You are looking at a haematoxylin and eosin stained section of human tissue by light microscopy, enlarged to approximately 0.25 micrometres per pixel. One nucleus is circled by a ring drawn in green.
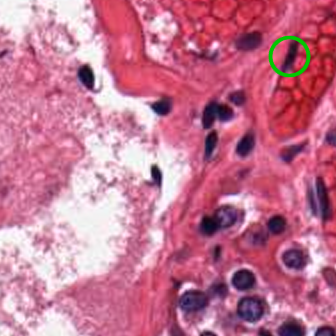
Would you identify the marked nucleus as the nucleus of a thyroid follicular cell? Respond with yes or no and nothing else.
no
